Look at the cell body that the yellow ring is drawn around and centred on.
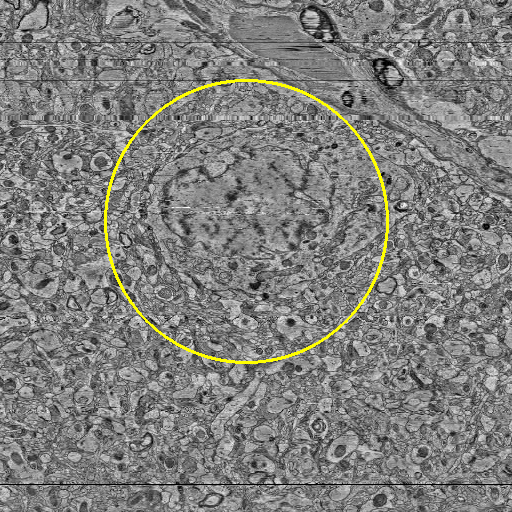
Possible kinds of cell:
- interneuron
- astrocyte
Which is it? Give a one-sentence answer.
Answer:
The centred cell body is that of an interneuron.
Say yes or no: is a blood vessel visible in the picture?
Yes, the image shows a blood vessel.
